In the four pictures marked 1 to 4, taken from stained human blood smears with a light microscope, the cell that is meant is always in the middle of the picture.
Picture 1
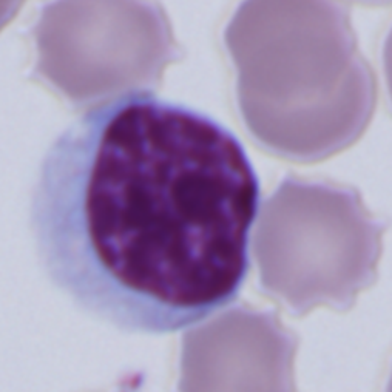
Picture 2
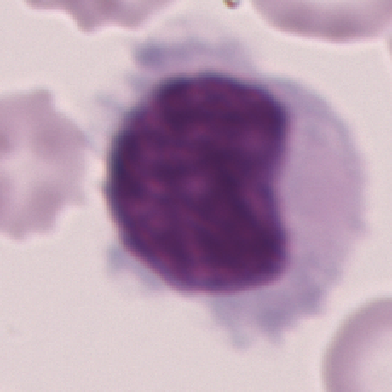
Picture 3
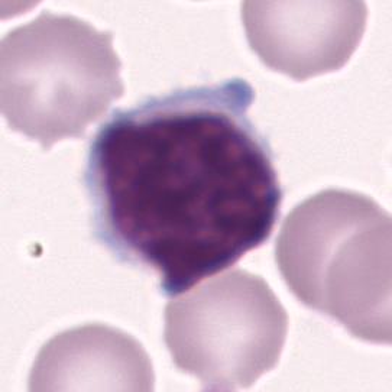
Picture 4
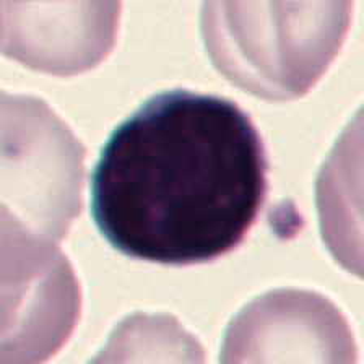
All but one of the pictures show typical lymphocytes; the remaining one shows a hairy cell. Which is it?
2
